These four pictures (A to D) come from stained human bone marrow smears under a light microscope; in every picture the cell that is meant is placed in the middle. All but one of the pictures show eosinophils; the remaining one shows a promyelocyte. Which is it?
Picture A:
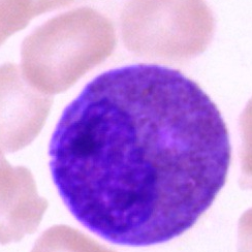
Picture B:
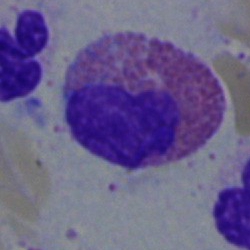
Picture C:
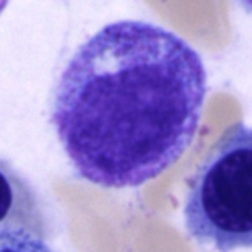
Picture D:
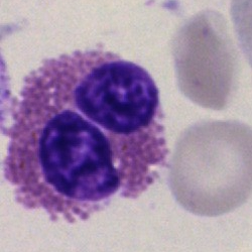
C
